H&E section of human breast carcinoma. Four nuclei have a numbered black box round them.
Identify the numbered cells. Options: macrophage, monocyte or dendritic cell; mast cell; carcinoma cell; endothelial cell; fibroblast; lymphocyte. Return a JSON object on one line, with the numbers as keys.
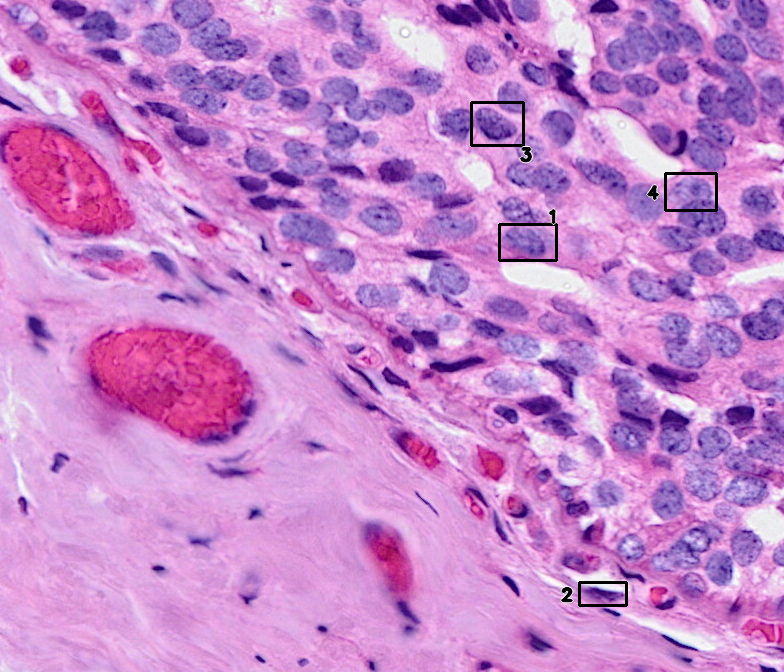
{"1": "carcinoma cell", "2": "fibroblast", "3": "carcinoma cell", "4": "carcinoma cell"}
